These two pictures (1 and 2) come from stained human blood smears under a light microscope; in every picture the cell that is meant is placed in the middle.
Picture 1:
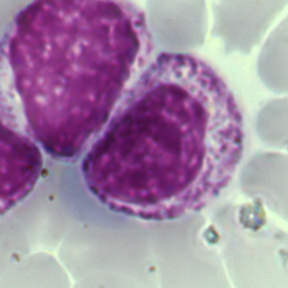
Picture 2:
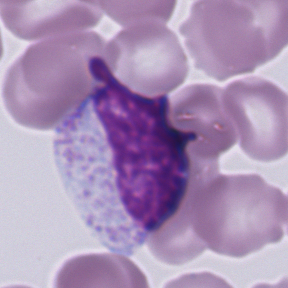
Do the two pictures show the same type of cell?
yes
